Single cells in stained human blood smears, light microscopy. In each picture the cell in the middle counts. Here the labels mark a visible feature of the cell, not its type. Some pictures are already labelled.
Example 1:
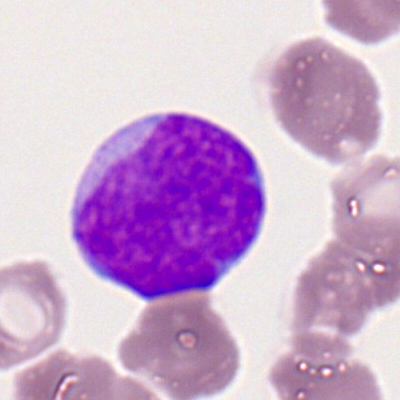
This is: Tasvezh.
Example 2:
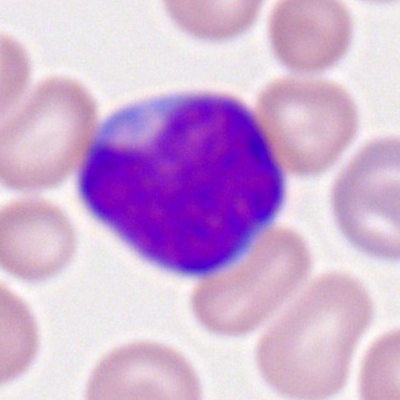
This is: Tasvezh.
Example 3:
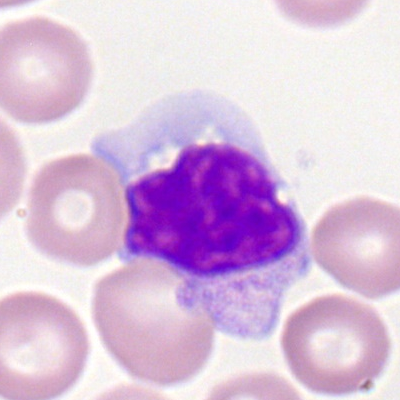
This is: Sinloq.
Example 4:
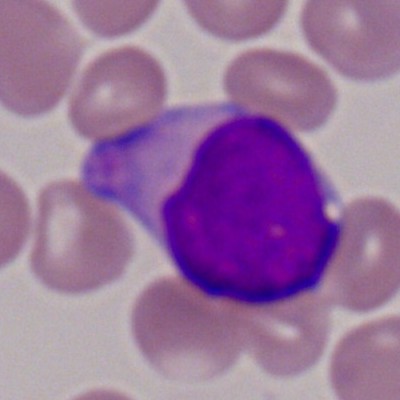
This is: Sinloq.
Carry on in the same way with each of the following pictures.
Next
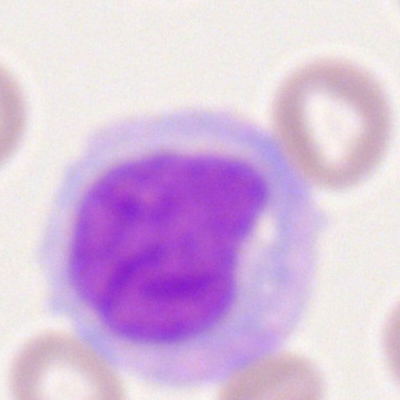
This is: Sinloq.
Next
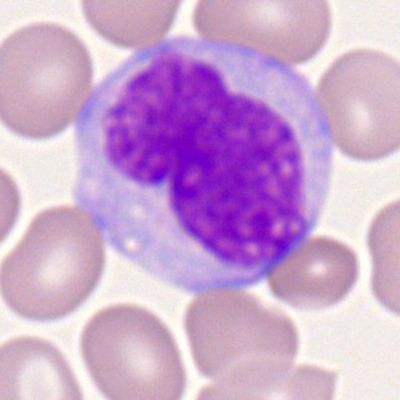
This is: Tasvezh.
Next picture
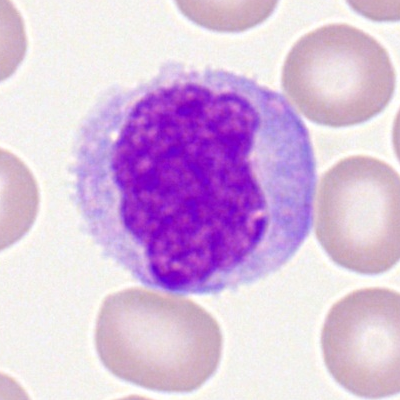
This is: Sinloq.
